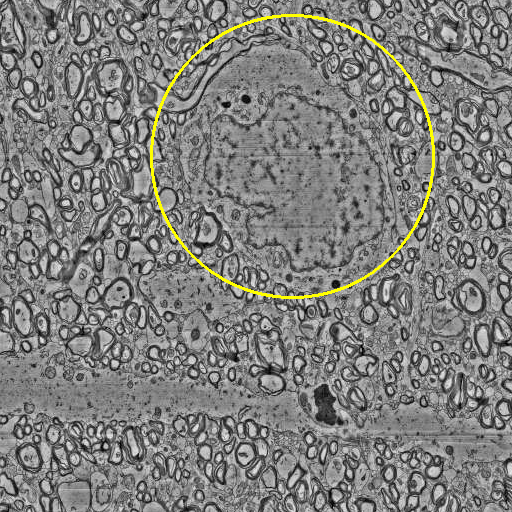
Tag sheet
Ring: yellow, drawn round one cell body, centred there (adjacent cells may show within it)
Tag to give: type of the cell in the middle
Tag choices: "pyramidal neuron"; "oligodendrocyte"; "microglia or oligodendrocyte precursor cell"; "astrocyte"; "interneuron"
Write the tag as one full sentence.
I tag the cell centred in the yellow ring as an interneuron in this picture.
